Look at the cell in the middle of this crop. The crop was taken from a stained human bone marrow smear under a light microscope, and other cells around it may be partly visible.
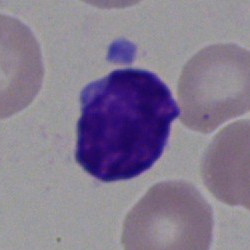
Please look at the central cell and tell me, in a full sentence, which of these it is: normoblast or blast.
The middle position in this crop is taken by a blast.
